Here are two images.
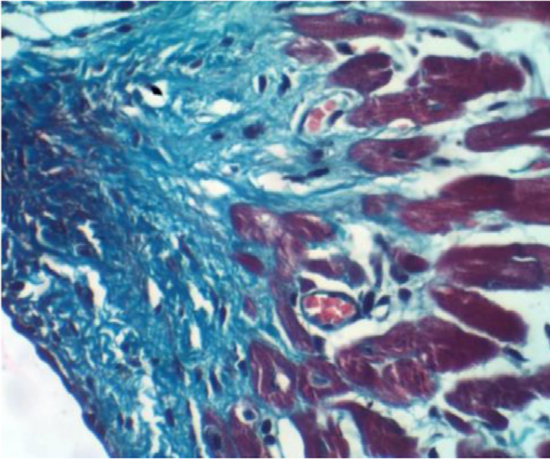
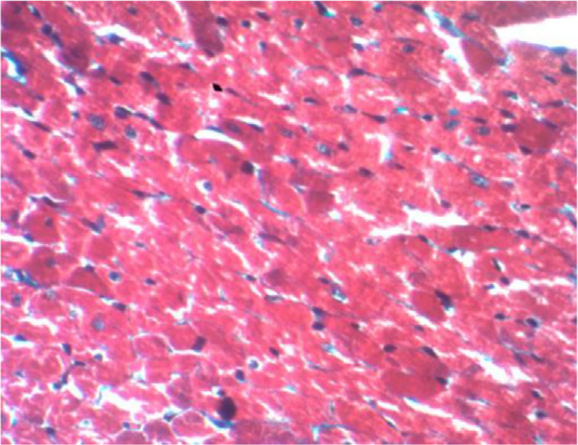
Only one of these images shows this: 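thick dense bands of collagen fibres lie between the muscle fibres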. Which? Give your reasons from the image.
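First image: a broad blue-green fibrous mass and wide blue-green strands separate the muscle fibres. Second image: only thin faint blue lines lie between closely packed red muscle fibres. That points to this answer: the first image.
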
